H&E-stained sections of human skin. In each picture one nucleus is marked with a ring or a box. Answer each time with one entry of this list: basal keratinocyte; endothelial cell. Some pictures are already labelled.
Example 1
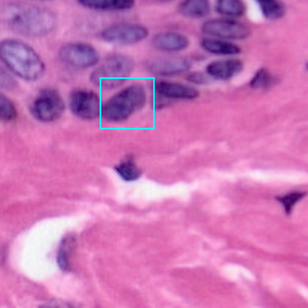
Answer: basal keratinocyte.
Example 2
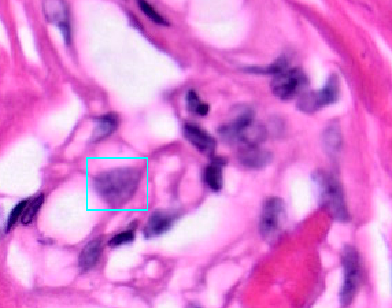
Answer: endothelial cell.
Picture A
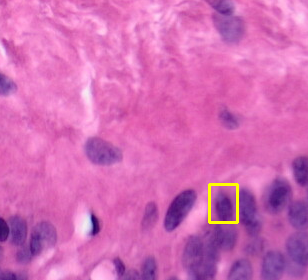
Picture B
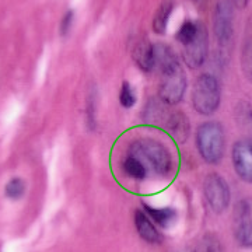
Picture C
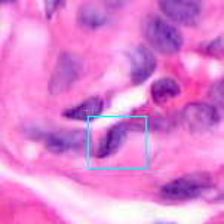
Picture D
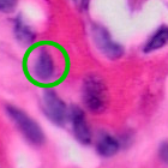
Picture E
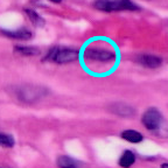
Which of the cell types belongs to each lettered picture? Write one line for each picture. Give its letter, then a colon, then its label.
A: basal keratinocyte.
B: basal keratinocyte.
C: endothelial cell.
D: endothelial cell.
E: endothelial cell.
